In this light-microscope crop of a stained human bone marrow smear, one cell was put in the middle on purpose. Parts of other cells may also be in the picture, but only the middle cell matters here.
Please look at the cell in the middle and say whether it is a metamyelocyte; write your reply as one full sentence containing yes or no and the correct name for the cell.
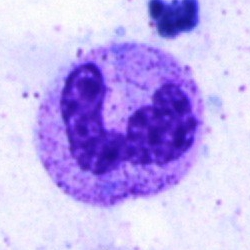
No, what sits in the centre of the crop is a band neutrophil rather than a metamyelocyte.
